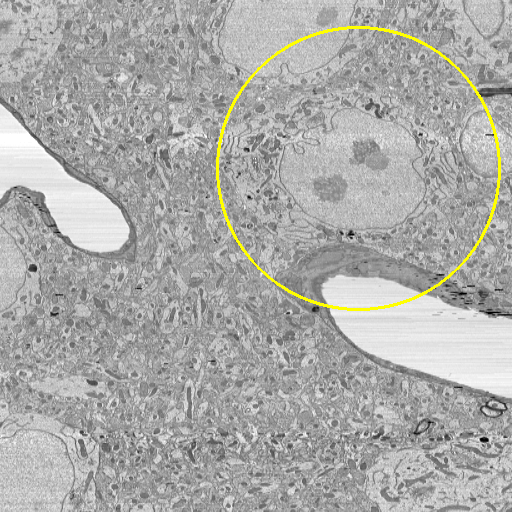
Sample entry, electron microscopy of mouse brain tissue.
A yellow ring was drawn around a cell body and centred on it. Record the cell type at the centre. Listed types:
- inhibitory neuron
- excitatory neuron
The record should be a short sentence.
The cell at the ring's centre is an inhibitory neuron.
